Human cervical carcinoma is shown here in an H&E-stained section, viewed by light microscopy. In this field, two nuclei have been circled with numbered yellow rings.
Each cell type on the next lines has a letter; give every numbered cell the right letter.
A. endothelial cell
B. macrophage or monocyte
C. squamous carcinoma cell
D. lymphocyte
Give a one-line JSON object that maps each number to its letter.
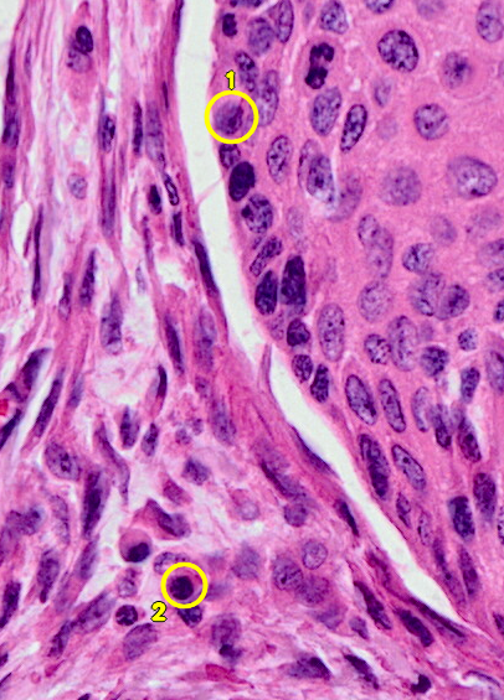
{"1": "C", "2": "D"}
